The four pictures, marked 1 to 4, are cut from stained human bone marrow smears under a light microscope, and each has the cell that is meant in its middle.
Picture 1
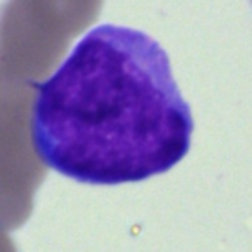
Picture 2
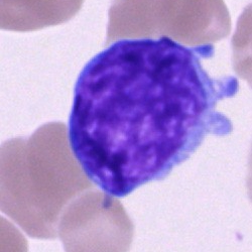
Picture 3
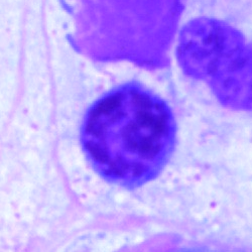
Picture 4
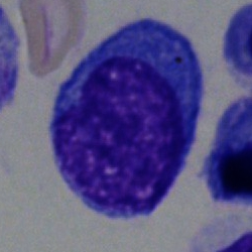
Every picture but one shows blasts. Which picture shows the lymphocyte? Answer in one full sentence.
Picture 3 is the one that shows the lymphocyte.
